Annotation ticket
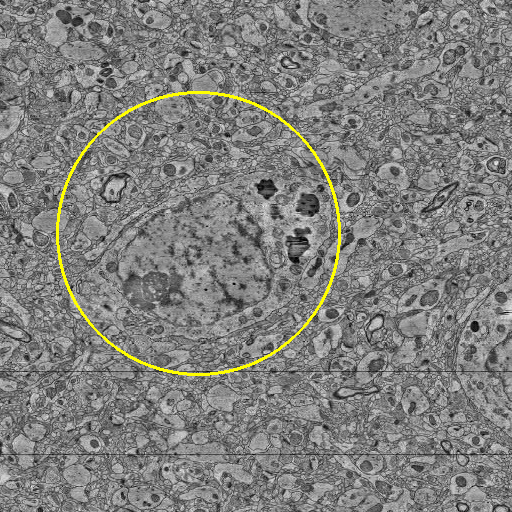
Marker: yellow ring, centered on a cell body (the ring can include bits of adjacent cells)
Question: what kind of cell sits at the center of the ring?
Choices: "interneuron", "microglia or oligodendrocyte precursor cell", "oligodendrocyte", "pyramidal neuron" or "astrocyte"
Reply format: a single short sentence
The ring is centered on an interneuron.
